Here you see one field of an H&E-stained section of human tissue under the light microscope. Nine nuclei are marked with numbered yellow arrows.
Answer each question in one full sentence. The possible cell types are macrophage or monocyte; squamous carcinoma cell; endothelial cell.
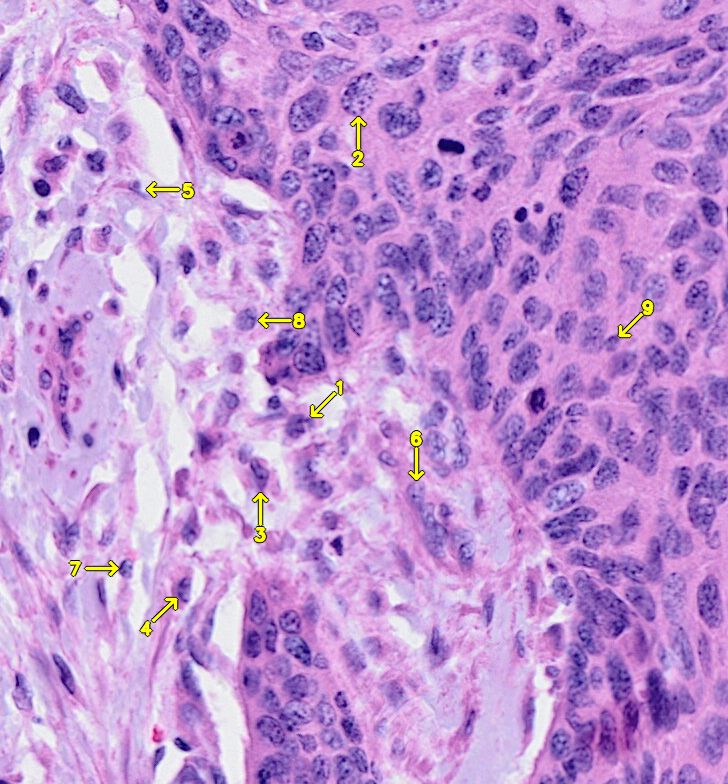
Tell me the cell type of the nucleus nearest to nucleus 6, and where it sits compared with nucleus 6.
Just below and to the right of nucleus 6 lies the nearest nucleus, which belongs to an endothelial cell.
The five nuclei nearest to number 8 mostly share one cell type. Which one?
Squamous carcinoma cells account for more than half of the five nuclei nearest to number 8.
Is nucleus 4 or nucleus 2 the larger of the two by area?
Nucleus 2 is larger, with an area about 3 times that of nucleus 4.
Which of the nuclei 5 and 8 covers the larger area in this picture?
Of the two, number 8 is bigger and takes up about 2.5 times the area of number 5.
